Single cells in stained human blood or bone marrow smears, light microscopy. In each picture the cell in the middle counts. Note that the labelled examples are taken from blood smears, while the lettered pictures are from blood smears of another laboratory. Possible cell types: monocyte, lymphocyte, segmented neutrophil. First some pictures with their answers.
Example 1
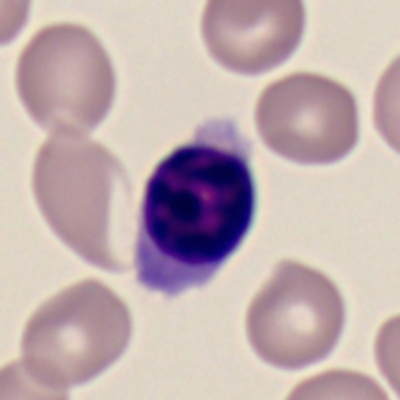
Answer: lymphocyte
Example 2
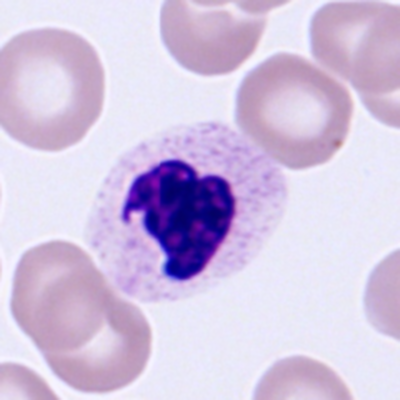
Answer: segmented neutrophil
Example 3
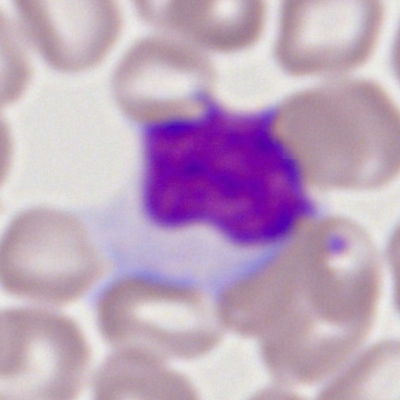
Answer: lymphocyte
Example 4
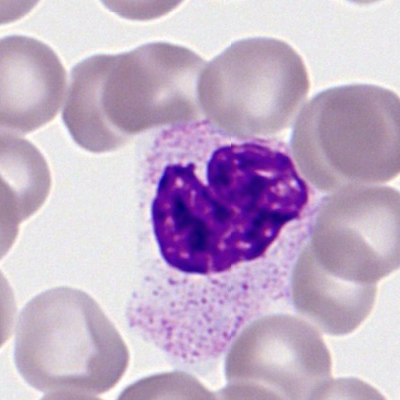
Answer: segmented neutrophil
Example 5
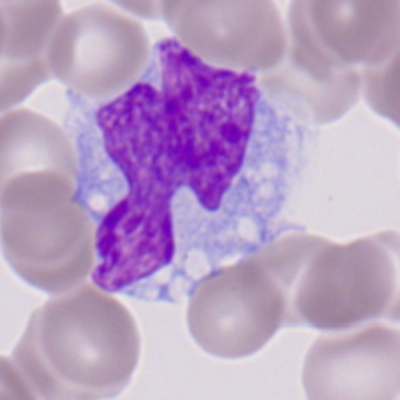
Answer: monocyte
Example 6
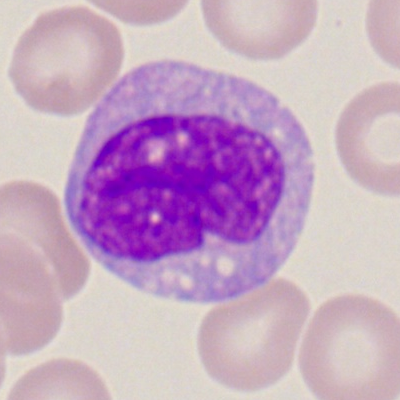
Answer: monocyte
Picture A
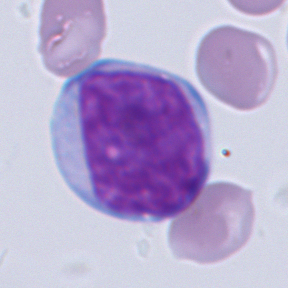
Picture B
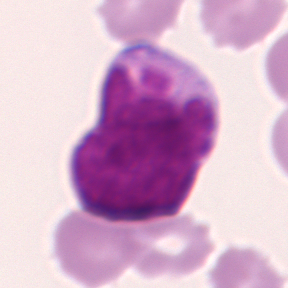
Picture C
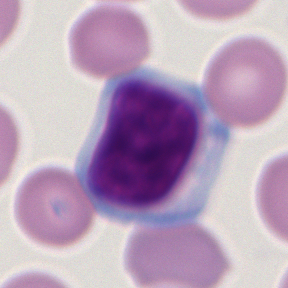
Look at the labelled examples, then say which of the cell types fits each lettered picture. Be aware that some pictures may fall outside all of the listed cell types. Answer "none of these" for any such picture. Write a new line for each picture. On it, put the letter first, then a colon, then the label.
A: none of these
B: none of these
C: lymphocyte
